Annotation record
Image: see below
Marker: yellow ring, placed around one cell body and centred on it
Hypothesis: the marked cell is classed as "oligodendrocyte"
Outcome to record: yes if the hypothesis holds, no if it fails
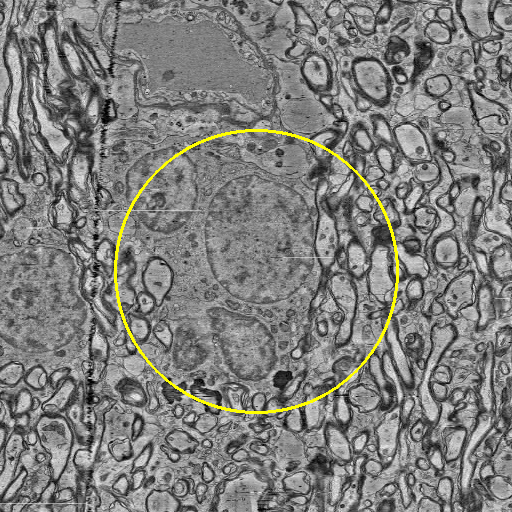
yes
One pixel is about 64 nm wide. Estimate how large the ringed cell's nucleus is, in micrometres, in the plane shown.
The nucleus is approximately 8 micrometers across in this plane.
